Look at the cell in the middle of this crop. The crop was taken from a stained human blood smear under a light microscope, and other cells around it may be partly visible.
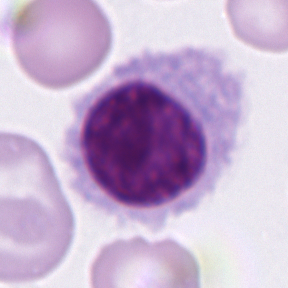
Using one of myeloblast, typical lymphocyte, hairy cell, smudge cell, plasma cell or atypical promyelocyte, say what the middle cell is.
hairy cell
